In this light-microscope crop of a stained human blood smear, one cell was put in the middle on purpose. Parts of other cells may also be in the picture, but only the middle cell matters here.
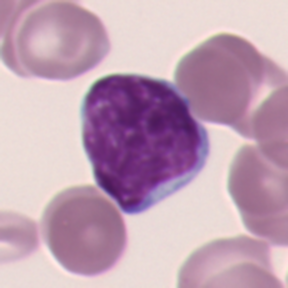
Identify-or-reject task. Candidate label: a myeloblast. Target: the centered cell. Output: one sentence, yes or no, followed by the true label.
Yes, that middle cell in the crop is a myeloblast.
